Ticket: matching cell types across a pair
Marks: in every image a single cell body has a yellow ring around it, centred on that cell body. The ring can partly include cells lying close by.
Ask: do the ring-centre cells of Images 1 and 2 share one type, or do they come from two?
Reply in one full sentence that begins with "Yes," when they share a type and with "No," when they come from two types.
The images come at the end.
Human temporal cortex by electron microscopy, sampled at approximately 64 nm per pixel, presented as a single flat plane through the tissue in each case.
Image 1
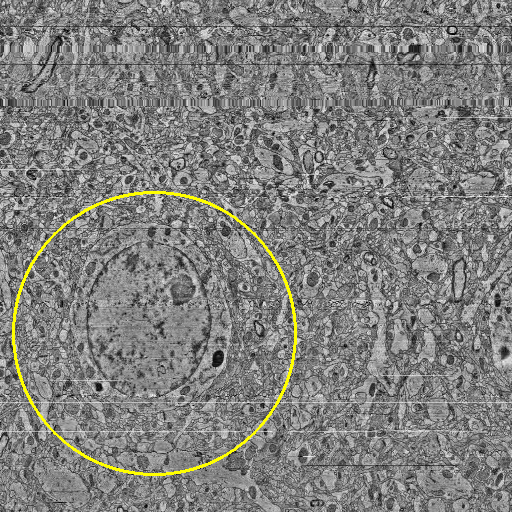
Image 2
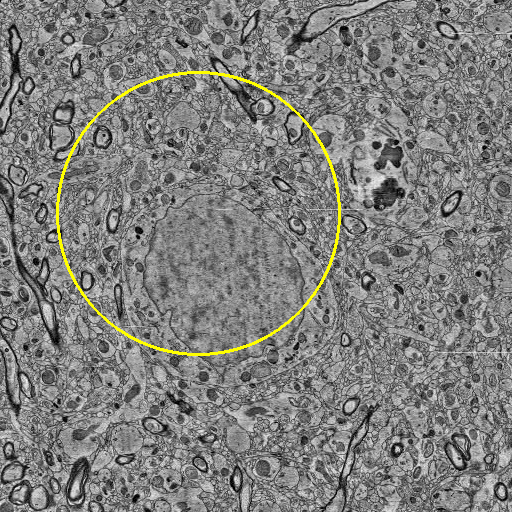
No, the cells in the centres of the rings in Image 1 and Image 2 come from two types.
